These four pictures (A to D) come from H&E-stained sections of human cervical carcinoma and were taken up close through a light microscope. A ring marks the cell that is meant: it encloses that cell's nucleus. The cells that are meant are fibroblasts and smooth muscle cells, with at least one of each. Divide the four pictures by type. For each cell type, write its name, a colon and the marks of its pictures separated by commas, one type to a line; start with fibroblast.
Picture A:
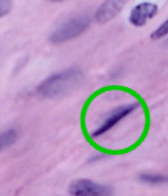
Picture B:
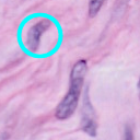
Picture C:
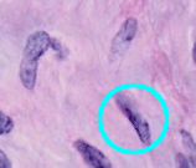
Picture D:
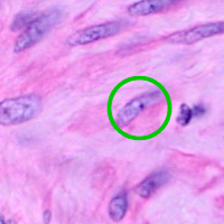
fibroblast: A, C
smooth muscle cell: B, D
